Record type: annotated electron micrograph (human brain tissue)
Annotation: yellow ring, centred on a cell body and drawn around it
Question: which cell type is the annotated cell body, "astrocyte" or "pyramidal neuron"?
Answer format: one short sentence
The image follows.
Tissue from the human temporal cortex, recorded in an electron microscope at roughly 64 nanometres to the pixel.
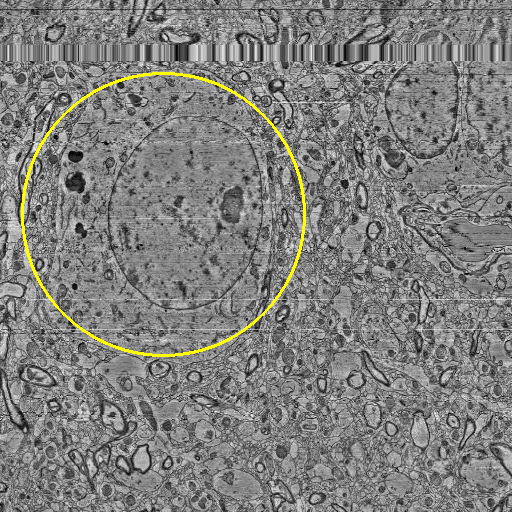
The annotated cell body is that of a pyramidal neuron.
